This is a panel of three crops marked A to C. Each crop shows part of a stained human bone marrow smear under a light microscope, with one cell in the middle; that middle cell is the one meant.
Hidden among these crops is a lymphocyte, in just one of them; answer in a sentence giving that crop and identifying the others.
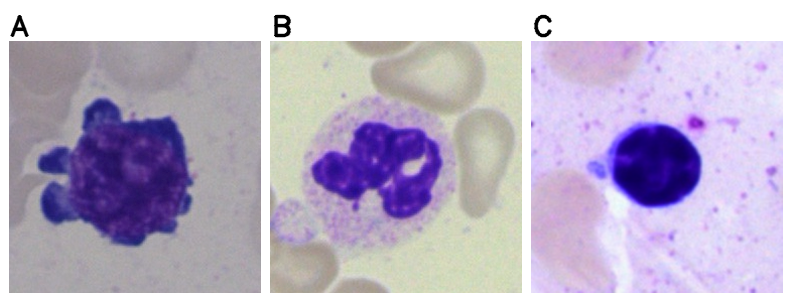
Crop C is the one showing a lymphocyte, whereas crop A is a proerythroblast and crop B is a neutrophil.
